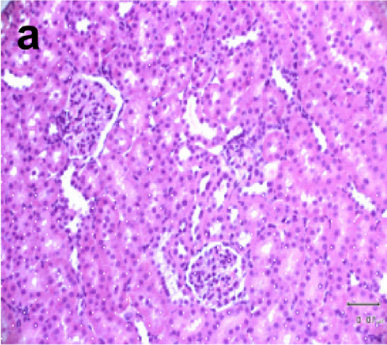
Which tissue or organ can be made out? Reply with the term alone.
Kidney.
